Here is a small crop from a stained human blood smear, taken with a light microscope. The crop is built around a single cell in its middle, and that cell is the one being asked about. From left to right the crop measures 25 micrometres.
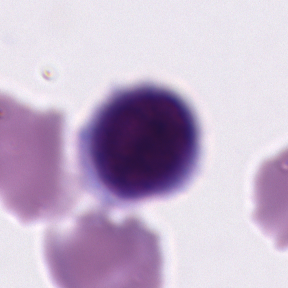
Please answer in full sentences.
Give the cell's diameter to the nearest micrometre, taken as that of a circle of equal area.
Taken as a circle, the cell has a diameter of about 11 micrometres.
